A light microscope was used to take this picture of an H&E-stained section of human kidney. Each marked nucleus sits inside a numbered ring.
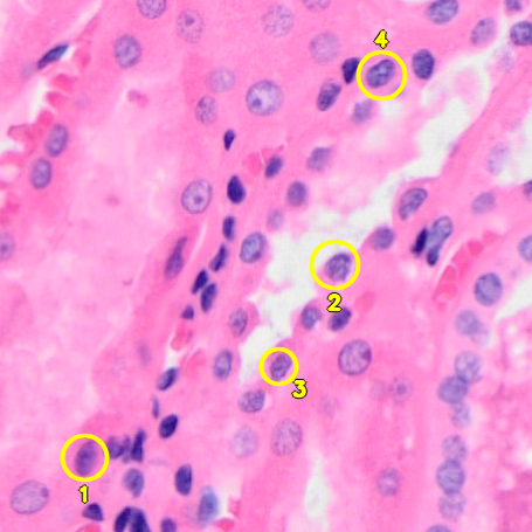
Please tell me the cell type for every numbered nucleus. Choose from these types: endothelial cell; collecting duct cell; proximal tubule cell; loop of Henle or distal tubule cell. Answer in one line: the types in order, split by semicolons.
proximal tubule cell; loop of Henle or distal tubule cell; loop of Henle or distal tubule cell; loop of Henle or distal tubule cell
